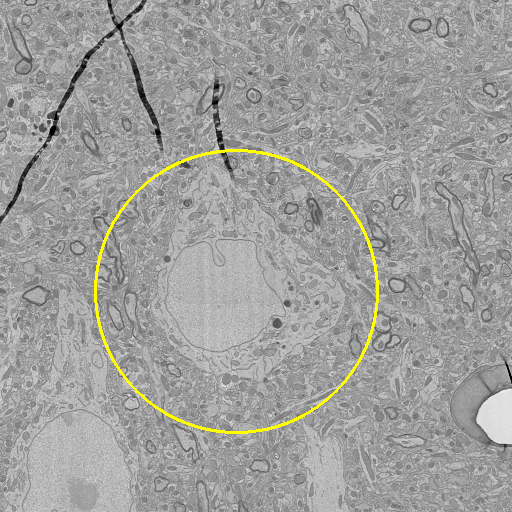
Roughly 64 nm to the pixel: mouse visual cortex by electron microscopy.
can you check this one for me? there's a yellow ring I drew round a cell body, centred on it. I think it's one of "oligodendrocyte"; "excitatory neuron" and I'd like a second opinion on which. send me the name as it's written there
excitatory neuron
